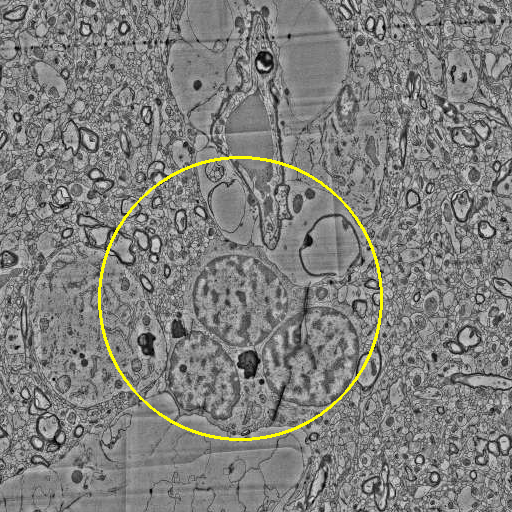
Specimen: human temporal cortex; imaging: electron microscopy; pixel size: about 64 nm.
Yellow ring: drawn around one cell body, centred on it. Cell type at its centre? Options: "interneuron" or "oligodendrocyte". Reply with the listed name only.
oligodendrocyte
